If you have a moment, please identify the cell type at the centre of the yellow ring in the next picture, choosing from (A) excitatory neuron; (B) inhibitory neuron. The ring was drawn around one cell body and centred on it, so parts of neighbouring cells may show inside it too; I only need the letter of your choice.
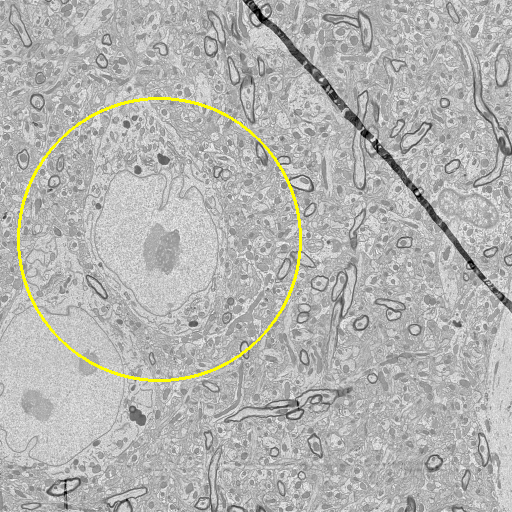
B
